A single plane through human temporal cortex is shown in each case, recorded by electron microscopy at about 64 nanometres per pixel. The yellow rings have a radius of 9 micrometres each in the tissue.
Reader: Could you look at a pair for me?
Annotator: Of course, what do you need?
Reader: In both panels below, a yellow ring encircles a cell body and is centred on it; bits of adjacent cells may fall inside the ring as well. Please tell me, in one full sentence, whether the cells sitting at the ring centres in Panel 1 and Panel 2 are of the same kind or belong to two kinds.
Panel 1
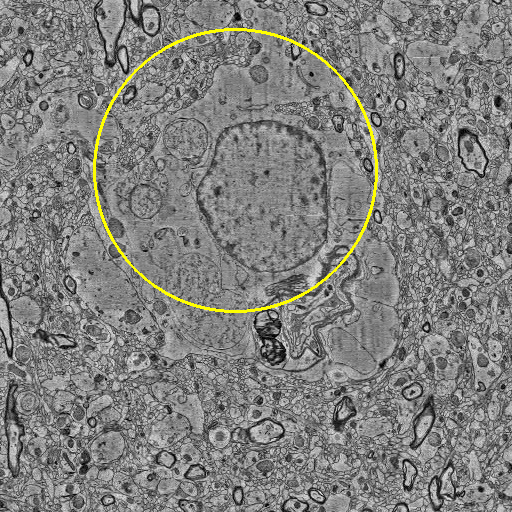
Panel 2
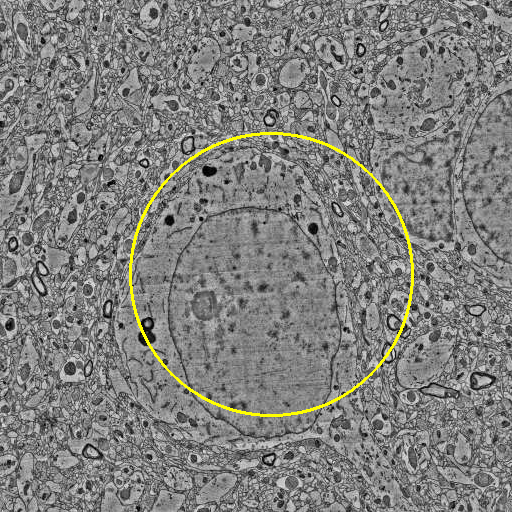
The cell at the ring's centre in Panel 1 and the one in Panel 2 belong to two kinds.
